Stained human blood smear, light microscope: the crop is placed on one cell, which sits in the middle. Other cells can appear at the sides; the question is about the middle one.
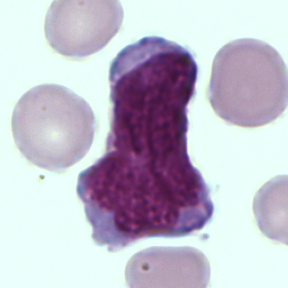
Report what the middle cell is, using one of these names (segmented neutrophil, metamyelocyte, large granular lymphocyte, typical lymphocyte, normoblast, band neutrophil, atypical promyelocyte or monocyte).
atypical promyelocyte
